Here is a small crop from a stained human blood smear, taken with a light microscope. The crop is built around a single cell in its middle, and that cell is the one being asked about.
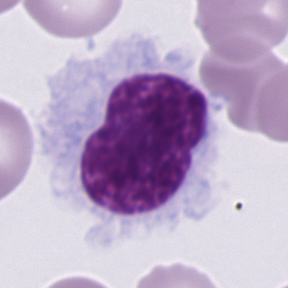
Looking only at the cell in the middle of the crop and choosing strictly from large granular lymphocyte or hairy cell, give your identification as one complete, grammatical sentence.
The cell that lies at the centre of the crop is a hairy cell.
